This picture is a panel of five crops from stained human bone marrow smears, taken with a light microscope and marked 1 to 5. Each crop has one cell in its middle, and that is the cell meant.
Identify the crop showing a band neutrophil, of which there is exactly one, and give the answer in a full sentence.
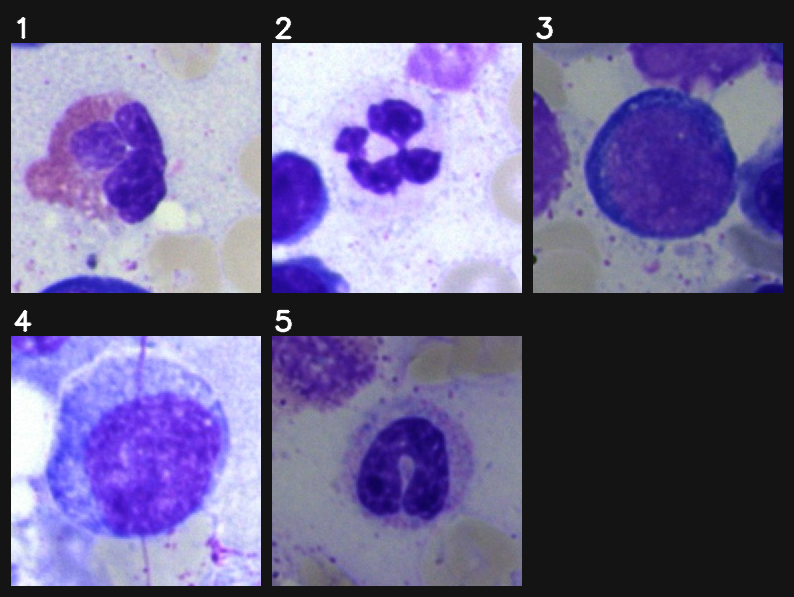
The one crop that shows a band neutrophil is crop 5.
